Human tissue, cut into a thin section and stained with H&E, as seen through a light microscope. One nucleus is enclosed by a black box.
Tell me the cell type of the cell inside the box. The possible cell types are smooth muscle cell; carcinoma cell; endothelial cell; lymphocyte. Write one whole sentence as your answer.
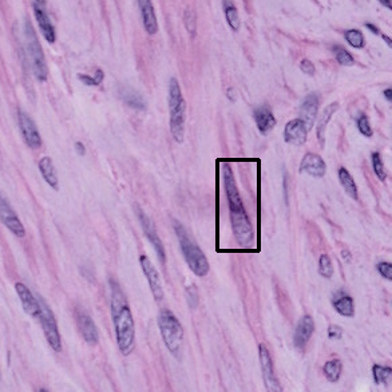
It is a smooth muscle cell that the cell inside the box represents.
